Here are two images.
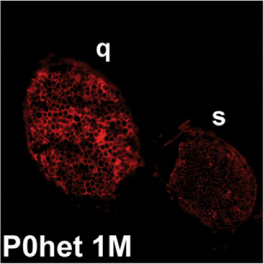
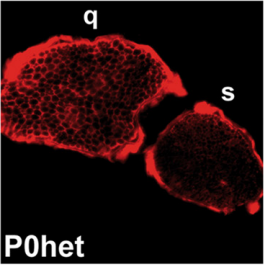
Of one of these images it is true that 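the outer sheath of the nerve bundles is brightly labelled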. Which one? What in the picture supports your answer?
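The second image. First image: the border of the bundles is only a thin, faint red line. Second image: the border of the bundles is a thick, bright red band. Both images: a red honeycomb fills the inside of the bundles.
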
